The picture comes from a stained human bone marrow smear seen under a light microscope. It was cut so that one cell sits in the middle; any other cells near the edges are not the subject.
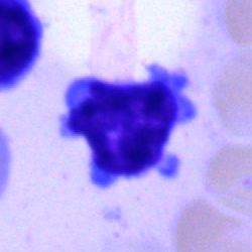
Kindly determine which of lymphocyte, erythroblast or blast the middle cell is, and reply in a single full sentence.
Here the centrally located cell is a lymphocyte.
